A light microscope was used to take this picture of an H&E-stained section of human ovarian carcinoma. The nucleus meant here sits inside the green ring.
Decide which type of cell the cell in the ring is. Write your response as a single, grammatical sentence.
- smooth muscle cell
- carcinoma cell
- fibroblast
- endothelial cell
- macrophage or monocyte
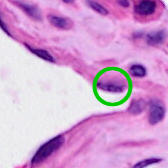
The cell type of the cell in the ring is that of an endothelial cell.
